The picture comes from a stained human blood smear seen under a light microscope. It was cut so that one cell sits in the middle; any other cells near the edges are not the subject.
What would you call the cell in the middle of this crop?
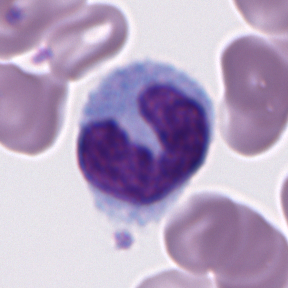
monocyte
